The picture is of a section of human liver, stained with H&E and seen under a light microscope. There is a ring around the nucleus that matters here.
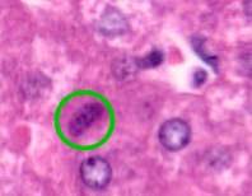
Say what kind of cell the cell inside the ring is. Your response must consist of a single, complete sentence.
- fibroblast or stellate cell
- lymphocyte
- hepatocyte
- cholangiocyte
The identity of the cell inside the ring: it is a fibroblast or stellate cell.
